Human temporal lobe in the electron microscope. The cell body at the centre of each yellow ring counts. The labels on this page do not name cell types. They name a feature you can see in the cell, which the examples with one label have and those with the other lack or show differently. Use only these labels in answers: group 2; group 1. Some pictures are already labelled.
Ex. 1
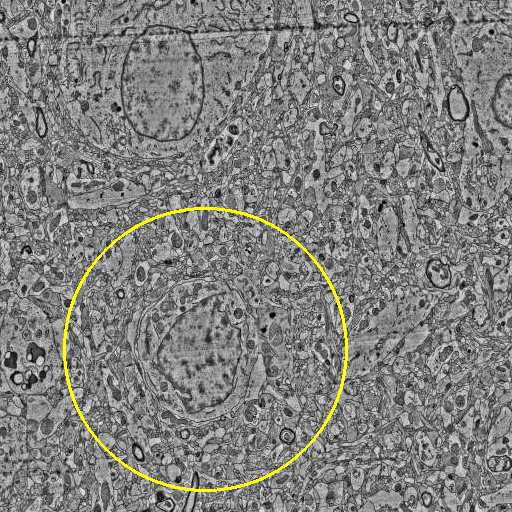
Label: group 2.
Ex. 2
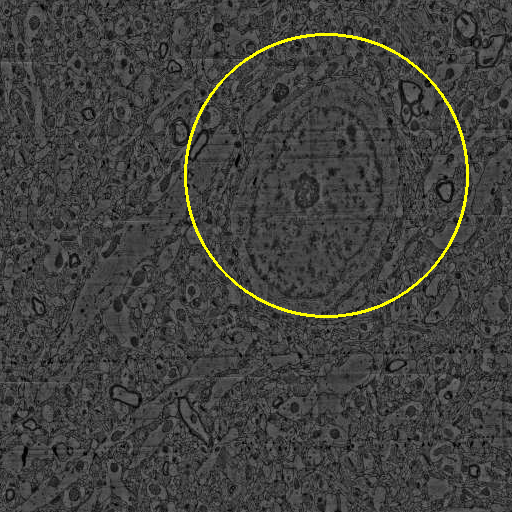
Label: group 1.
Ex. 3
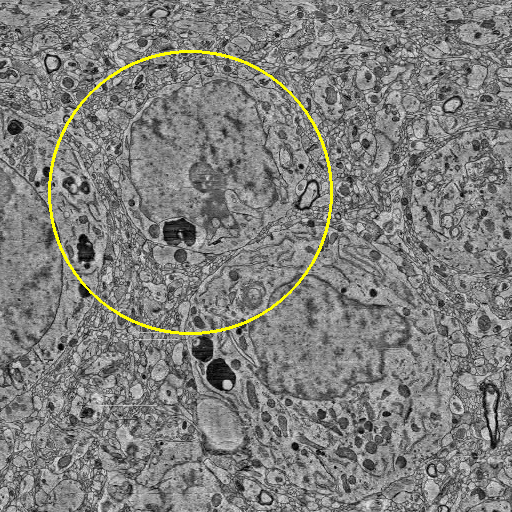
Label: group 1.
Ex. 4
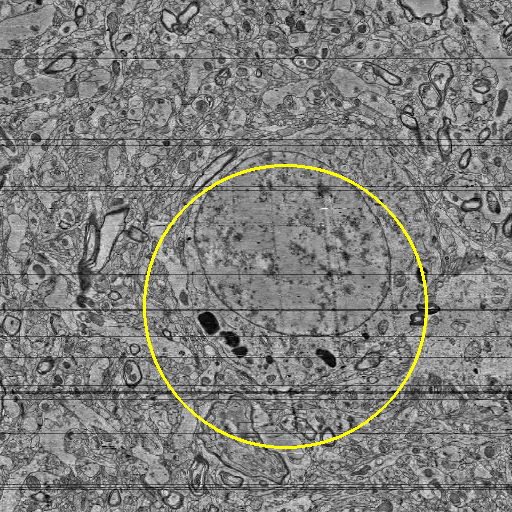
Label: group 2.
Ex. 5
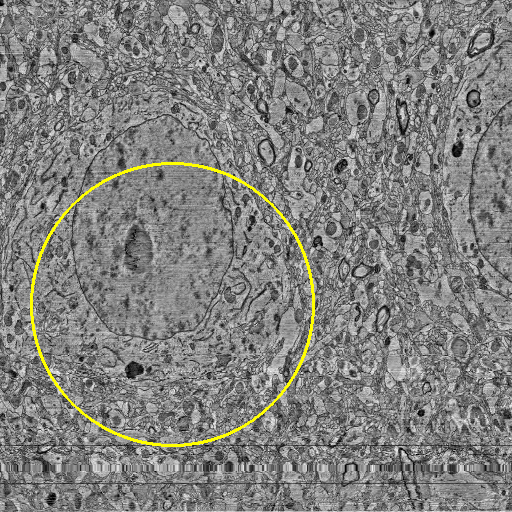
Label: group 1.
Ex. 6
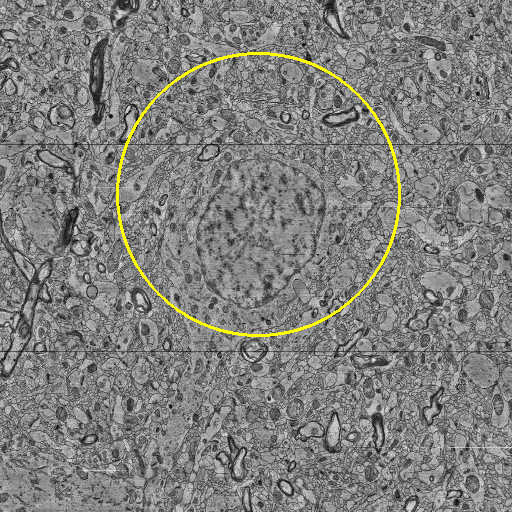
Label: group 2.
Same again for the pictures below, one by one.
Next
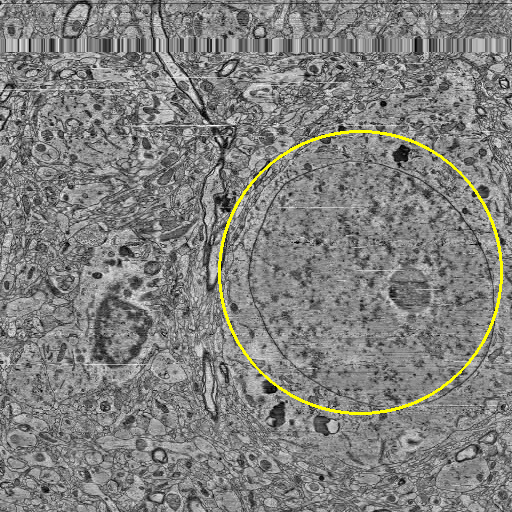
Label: group 1.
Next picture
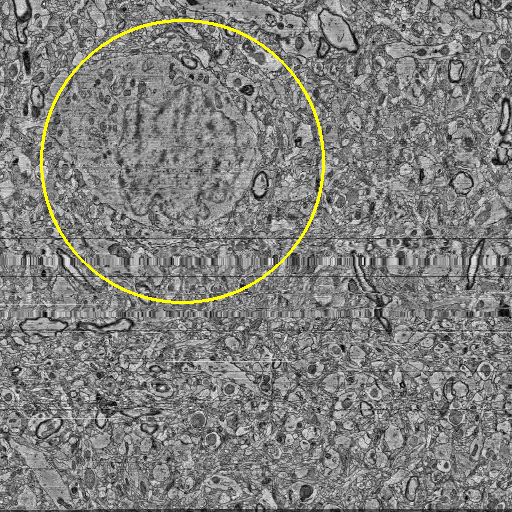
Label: group 2.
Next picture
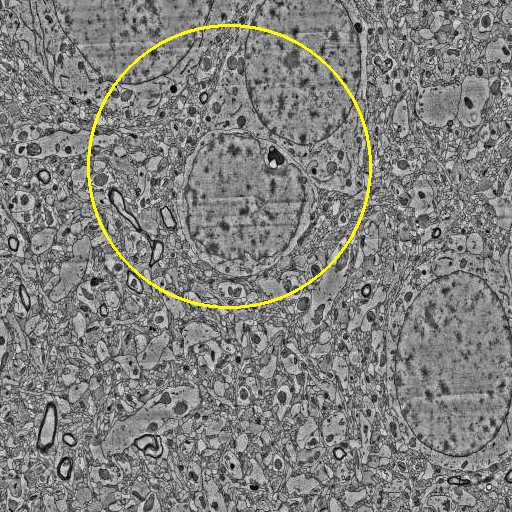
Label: group 2.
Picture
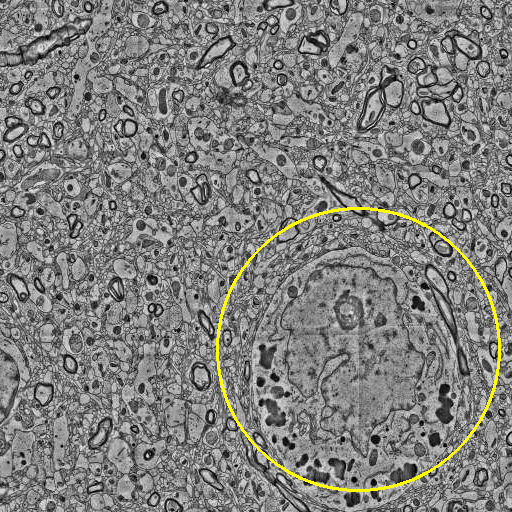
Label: group 1.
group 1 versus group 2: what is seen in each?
group 1, nucleolus seen; group 2, no nucleolus seen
